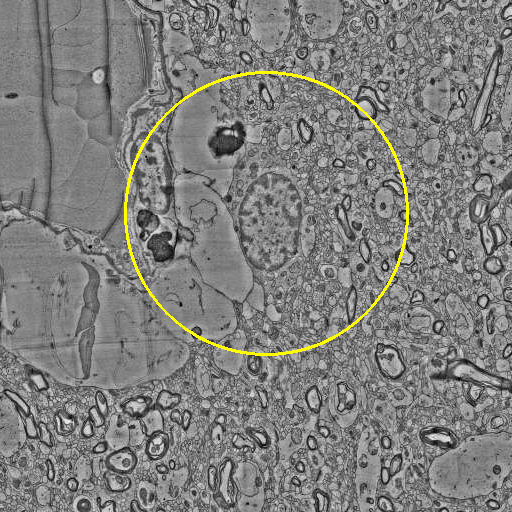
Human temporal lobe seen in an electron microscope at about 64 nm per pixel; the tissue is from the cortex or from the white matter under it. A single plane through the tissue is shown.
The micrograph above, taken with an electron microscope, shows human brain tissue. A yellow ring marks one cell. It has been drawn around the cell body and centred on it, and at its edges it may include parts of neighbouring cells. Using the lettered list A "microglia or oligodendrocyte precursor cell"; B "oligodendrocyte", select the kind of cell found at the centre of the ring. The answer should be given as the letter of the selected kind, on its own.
B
